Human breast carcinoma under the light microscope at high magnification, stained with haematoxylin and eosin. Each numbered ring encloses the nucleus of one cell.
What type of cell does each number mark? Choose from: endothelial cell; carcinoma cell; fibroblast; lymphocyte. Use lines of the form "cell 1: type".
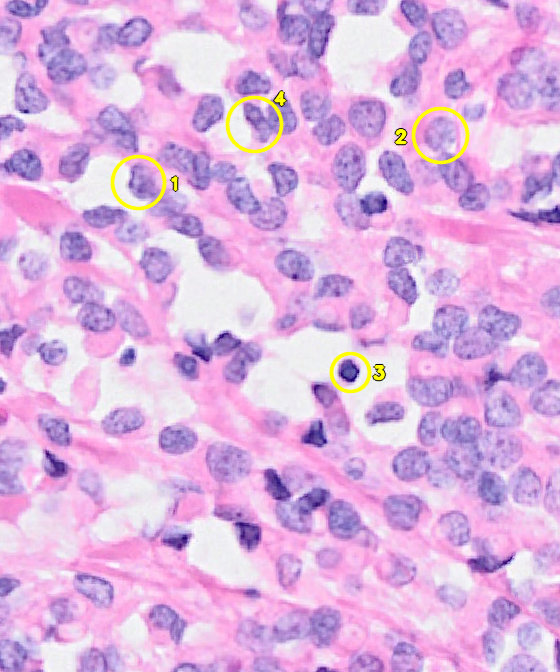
cell 1: carcinoma cell
cell 2: carcinoma cell
cell 3: lymphocyte
cell 4: carcinoma cell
